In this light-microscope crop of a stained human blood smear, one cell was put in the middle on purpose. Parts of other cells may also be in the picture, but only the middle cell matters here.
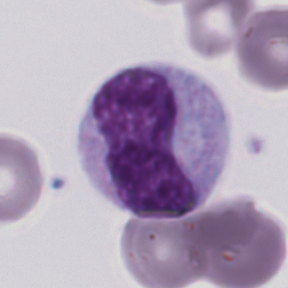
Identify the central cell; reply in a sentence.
The single cell at the center of the crop is a metamyelocyte.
